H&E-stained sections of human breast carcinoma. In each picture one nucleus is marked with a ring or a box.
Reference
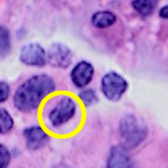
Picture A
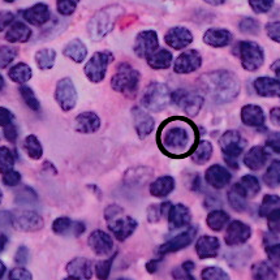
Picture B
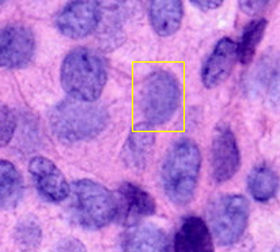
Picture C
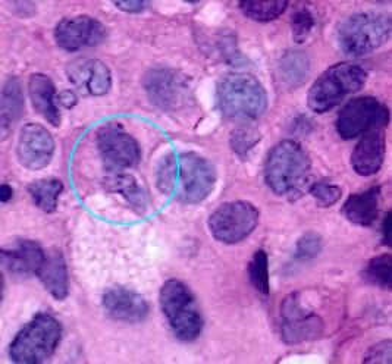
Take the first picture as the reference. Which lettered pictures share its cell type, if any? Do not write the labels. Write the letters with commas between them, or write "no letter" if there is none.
A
